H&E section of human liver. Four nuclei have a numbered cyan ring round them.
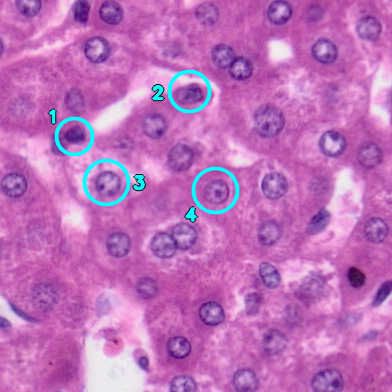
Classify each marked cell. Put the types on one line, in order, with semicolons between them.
fibroblast or stellate cell; Kupffer cell; hepatocyte; hepatocyte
